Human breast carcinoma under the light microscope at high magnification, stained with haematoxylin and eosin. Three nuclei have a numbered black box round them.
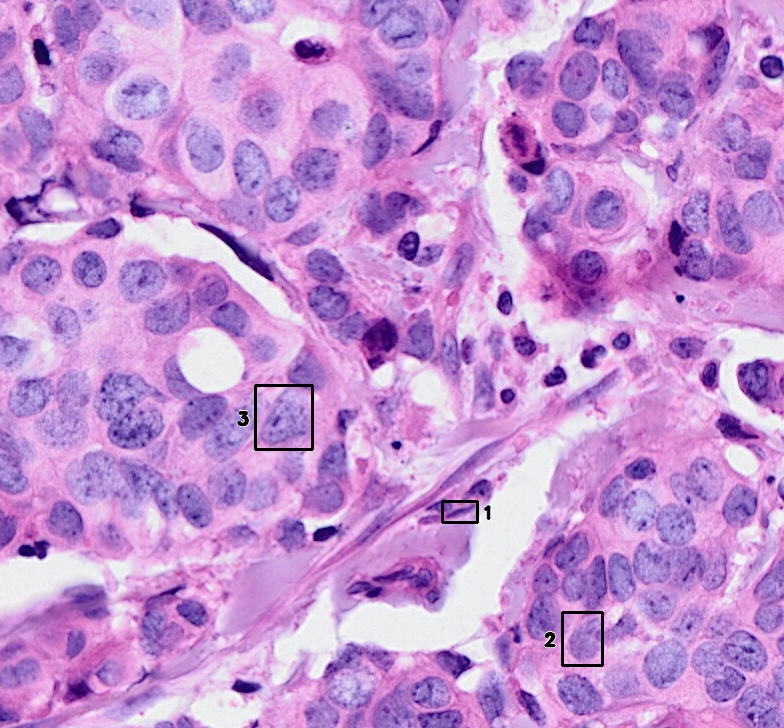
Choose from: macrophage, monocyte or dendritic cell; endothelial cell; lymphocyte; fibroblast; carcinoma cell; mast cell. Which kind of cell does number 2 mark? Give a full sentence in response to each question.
What the number 2 marks in this field is a carcinoma cell.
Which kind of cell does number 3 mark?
Regarding cell 3, this one is a carcinoma cell.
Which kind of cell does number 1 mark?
The numeral 1 marks a fibroblast in this section.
